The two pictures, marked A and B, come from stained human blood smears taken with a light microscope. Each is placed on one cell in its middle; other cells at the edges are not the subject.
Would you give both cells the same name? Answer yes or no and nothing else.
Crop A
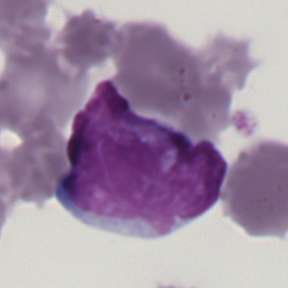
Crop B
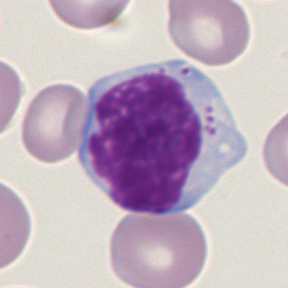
no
